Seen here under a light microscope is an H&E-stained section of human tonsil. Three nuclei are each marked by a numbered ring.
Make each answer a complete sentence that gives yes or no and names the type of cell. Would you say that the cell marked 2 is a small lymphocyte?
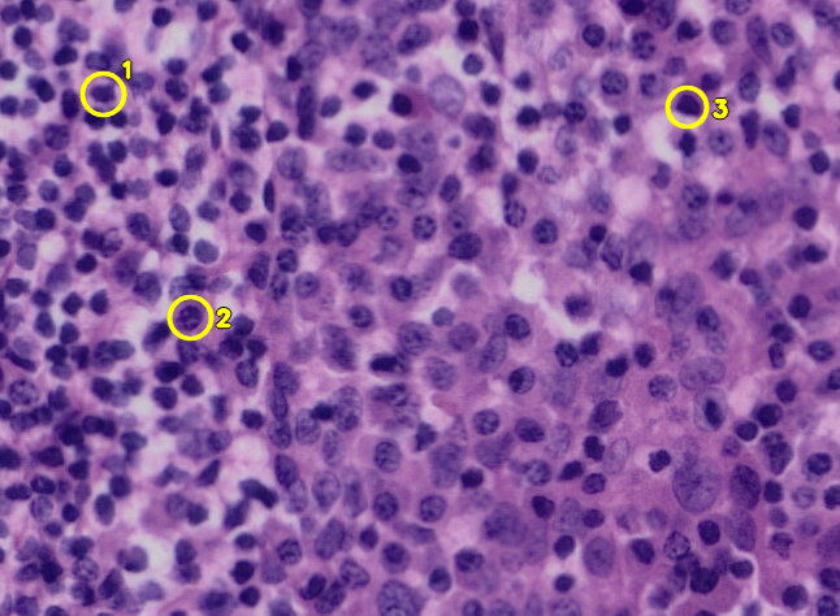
No, cell 2 is identified not as a small lymphocyte but as a plasma cell.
